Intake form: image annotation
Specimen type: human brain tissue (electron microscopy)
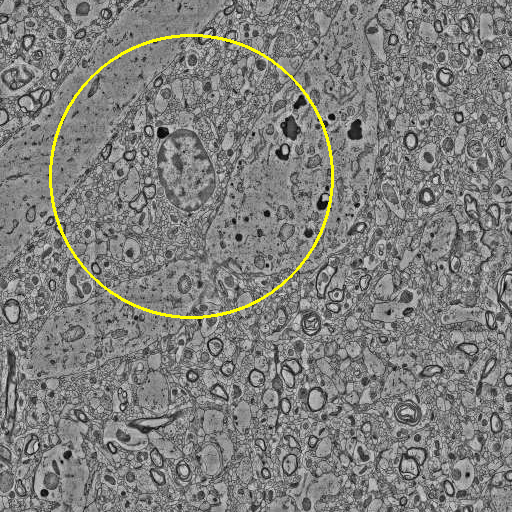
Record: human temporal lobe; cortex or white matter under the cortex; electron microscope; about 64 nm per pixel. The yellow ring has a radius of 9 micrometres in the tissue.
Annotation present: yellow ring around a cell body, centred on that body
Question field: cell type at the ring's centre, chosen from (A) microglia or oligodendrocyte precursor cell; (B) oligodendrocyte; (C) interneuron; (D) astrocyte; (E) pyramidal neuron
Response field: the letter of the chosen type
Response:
A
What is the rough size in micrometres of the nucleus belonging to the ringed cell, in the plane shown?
In this plane, the nucleus of the cell at the centre of the ring measures about 5 by 3 micrometres.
